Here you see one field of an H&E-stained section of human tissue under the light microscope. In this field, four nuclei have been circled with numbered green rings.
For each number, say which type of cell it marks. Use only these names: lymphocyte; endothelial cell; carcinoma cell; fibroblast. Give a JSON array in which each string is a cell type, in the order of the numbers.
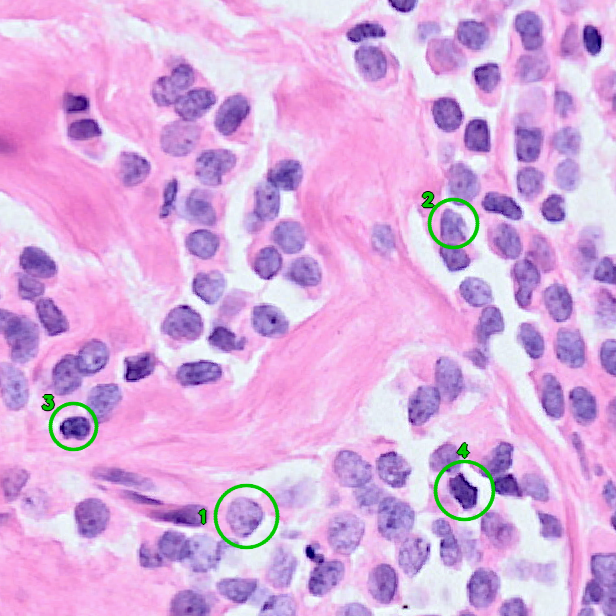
["carcinoma cell", "carcinoma cell", "lymphocyte", "carcinoma cell"]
